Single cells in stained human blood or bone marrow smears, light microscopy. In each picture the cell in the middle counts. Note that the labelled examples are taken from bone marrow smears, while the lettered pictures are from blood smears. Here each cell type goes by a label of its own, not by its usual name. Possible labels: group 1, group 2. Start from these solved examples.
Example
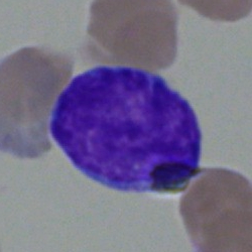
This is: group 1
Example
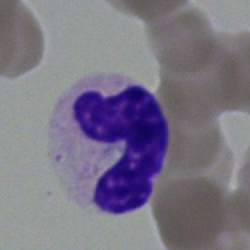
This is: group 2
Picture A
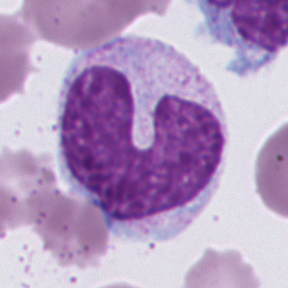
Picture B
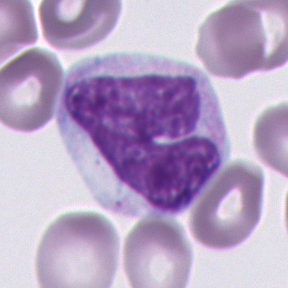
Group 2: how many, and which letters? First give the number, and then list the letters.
Count: 2 (A, B)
